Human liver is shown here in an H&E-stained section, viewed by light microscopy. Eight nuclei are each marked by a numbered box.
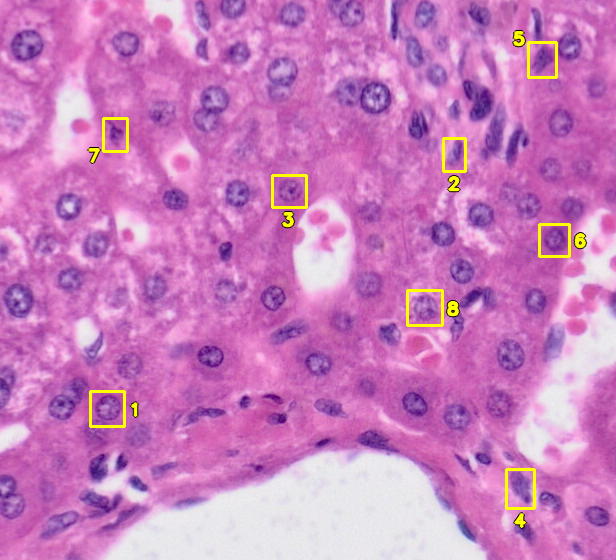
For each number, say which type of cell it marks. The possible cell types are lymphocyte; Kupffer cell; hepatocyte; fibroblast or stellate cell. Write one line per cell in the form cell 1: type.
cell 1: hepatocyte
cell 2: fibroblast or stellate cell
cell 3: hepatocyte
cell 4: fibroblast or stellate cell
cell 5: fibroblast or stellate cell
cell 6: hepatocyte
cell 7: fibroblast or stellate cell
cell 8: hepatocyte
